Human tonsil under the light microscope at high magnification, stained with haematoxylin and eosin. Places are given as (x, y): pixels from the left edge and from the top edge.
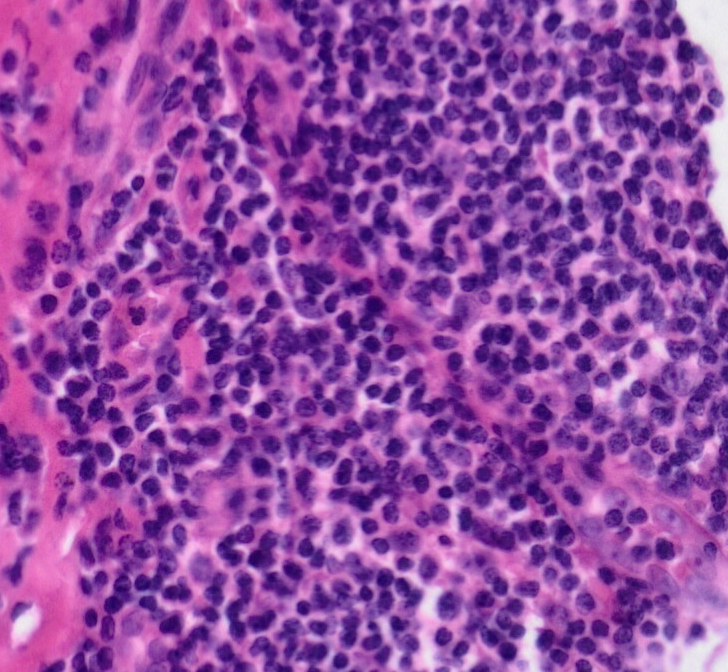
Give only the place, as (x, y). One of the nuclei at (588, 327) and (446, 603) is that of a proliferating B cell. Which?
(446, 603)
